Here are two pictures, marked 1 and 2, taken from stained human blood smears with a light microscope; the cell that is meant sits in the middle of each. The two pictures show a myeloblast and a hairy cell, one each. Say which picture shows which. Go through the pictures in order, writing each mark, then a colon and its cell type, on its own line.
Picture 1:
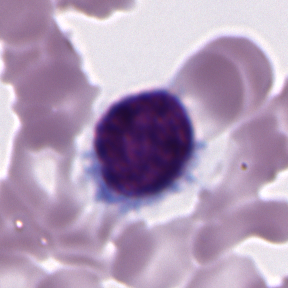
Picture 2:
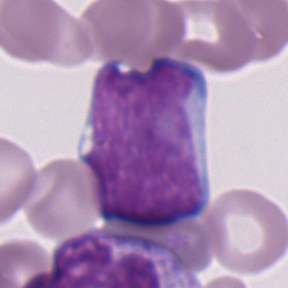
1: hairy cell
2: myeloblast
